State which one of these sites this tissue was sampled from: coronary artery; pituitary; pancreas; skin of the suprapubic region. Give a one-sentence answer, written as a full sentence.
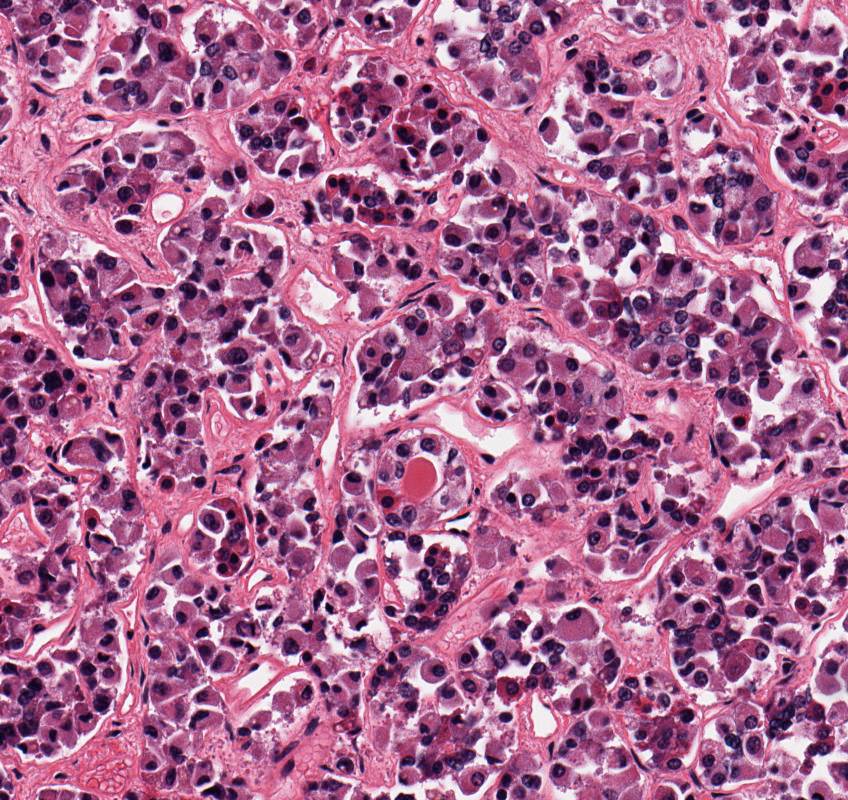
The source of this tissue sample is the pituitary.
